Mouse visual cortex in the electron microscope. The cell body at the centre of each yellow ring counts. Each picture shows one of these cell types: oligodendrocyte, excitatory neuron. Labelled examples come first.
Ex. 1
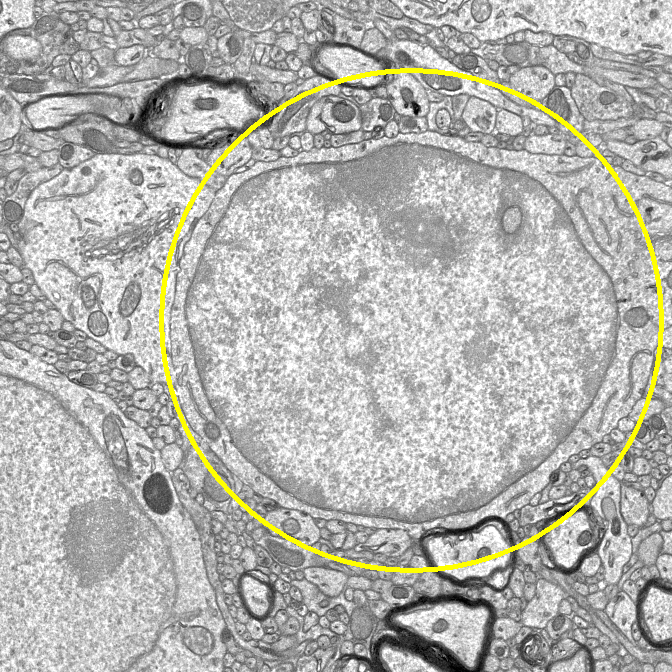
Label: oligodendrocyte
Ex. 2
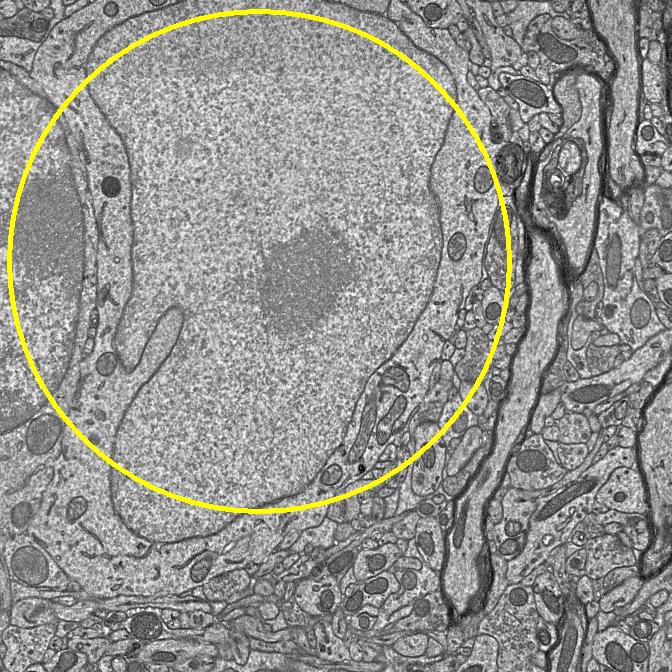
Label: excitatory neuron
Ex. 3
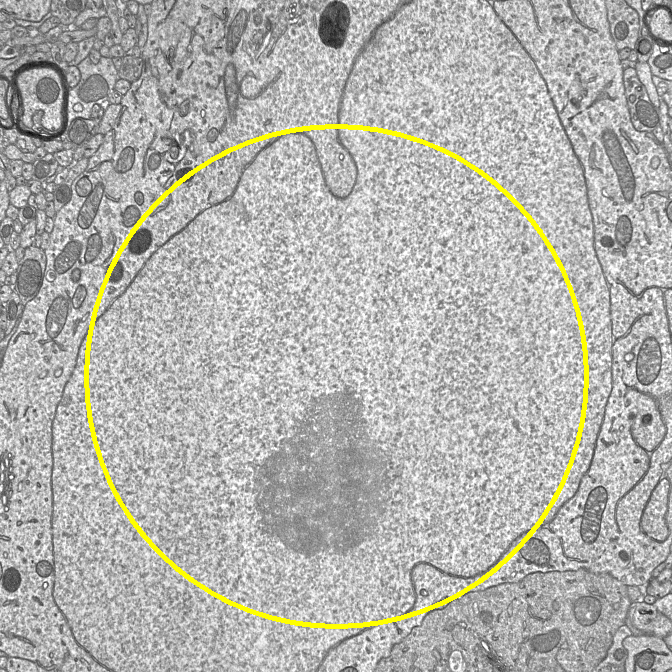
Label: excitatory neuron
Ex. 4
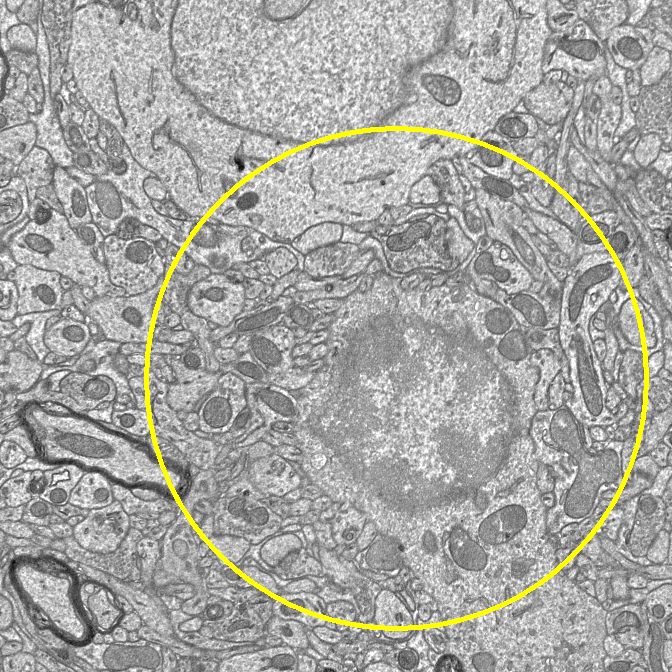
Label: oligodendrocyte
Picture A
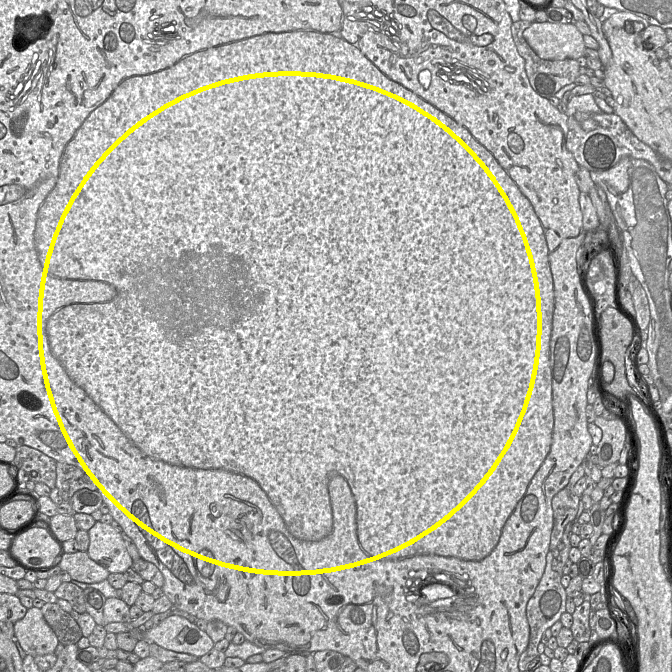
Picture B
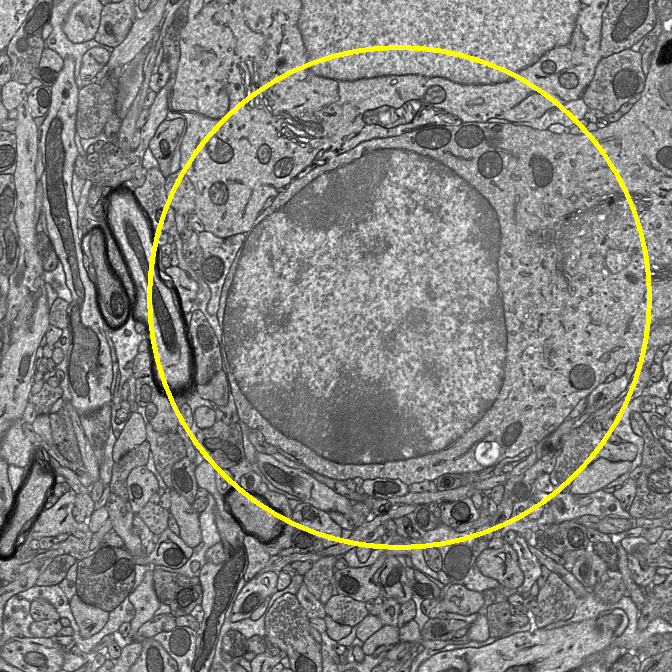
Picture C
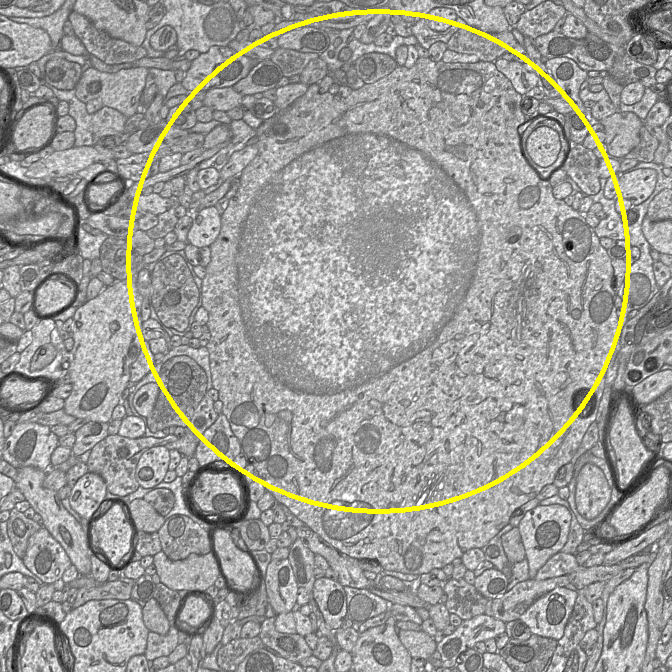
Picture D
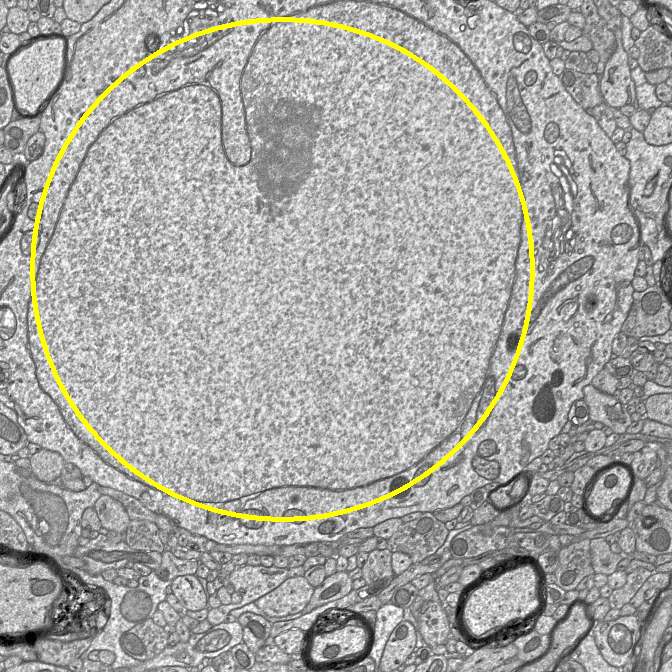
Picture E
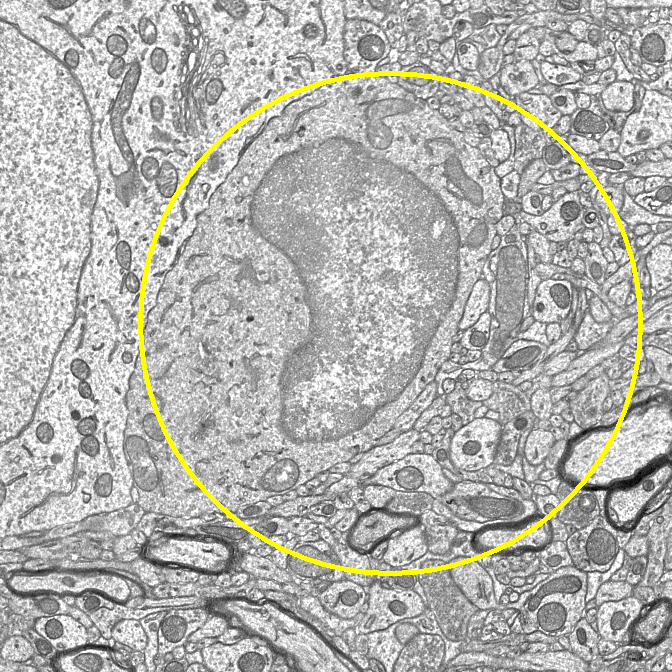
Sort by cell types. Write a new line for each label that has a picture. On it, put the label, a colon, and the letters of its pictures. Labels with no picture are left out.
oligodendrocyte: B, C, E
excitatory neuron: A, D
